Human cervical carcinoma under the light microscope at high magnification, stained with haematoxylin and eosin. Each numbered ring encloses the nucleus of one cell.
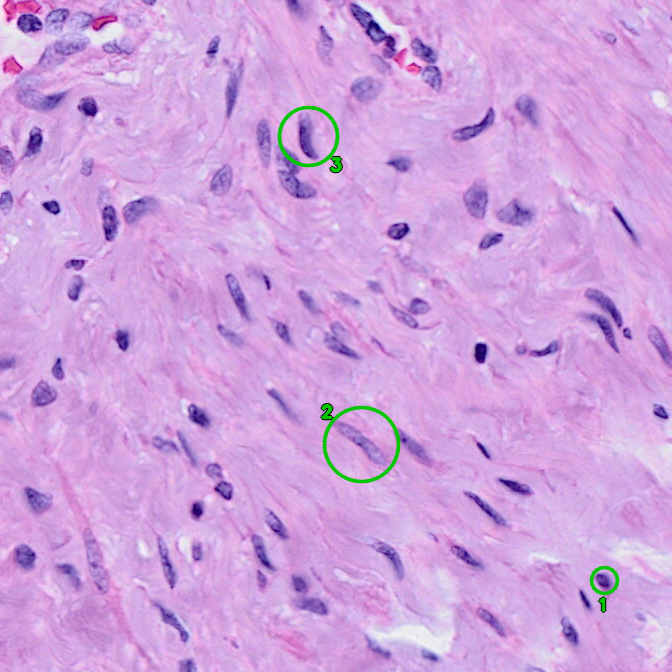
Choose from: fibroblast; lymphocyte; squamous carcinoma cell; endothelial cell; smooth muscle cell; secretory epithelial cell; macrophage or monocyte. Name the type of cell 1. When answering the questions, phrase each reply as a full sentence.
Denoted by the label 1 in the section is a fibroblast.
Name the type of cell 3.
Nucleus 3 in this section belongs to a fibroblast.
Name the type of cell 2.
Nucleus 2 in this section belongs to a smooth muscle cell.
